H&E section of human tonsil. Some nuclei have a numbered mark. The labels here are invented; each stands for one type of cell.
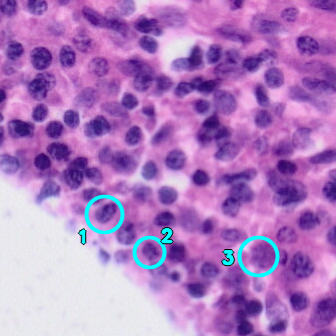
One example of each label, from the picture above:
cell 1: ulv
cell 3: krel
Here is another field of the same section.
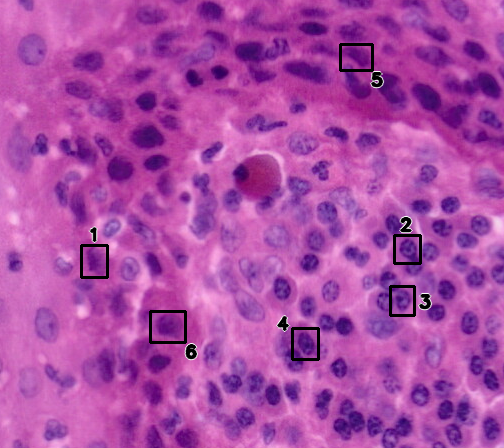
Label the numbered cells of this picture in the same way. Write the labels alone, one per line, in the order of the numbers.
krel
ulv
ulv
ulv
krel
krel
